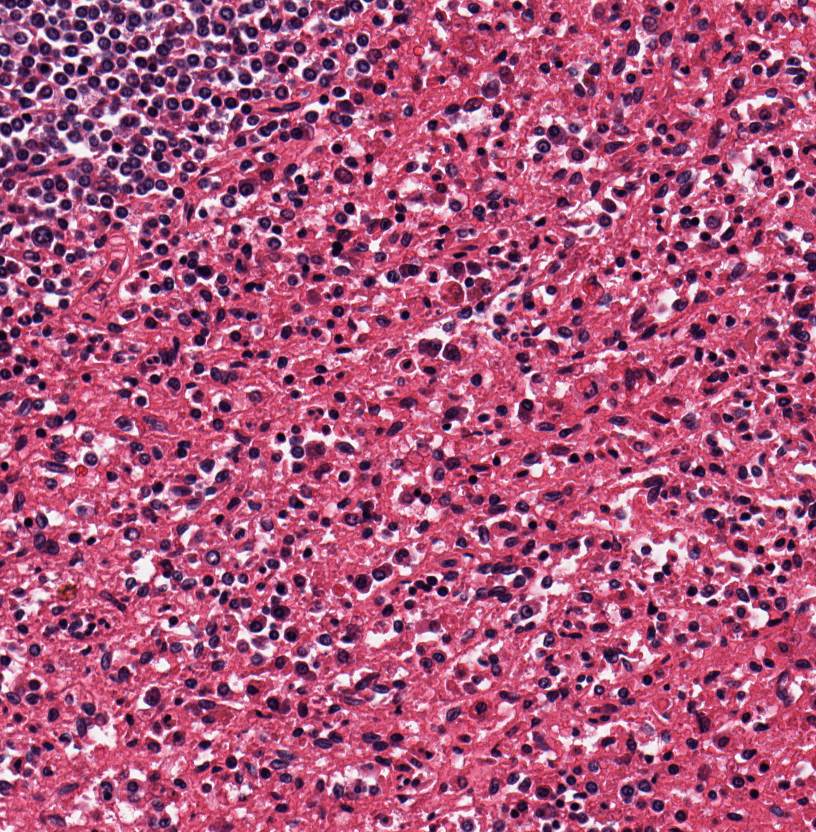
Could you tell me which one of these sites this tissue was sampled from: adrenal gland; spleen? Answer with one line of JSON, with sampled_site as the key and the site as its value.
{"sampled_site": "spleen"}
